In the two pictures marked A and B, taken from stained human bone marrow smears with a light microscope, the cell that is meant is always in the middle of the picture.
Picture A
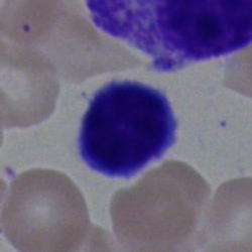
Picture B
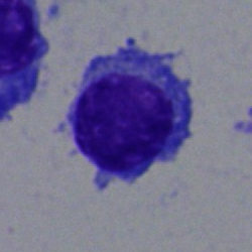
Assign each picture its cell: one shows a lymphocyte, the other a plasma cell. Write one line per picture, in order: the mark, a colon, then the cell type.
A: lymphocyte
B: plasma cell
